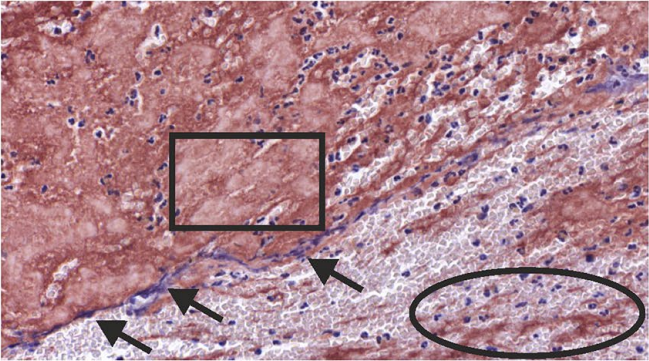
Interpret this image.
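To the lower right, pale red blood cells are packed with scattered blue nuclei. Streaks of brown material run in elongated, wispy bands among the red cells there.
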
